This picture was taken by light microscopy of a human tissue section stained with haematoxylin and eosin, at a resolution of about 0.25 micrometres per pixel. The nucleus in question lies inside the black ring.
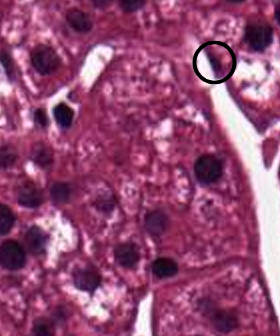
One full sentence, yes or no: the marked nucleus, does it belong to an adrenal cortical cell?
No, an adrenal cortical cell does not own the marked nucleus, which belongs to a supporting cell.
